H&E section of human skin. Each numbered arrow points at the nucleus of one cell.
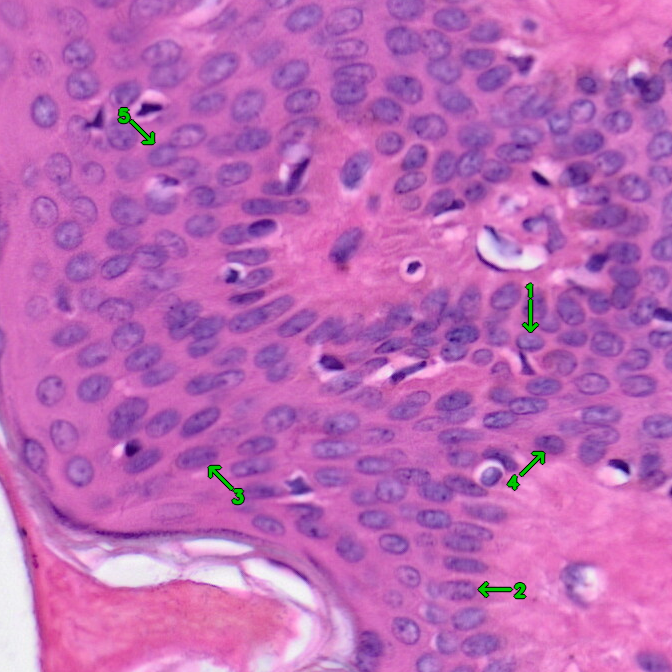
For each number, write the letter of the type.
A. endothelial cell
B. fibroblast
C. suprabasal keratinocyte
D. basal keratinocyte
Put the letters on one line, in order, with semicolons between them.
D; D; C; D; C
